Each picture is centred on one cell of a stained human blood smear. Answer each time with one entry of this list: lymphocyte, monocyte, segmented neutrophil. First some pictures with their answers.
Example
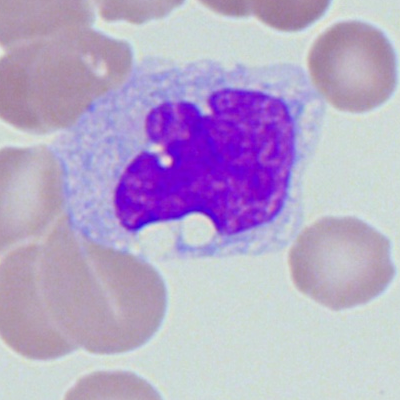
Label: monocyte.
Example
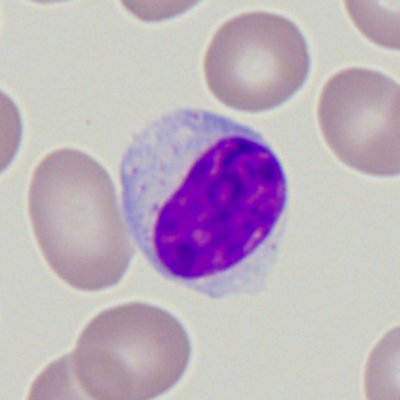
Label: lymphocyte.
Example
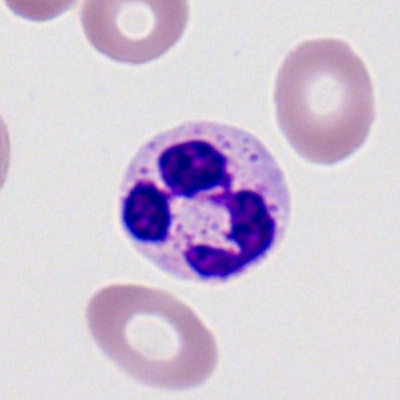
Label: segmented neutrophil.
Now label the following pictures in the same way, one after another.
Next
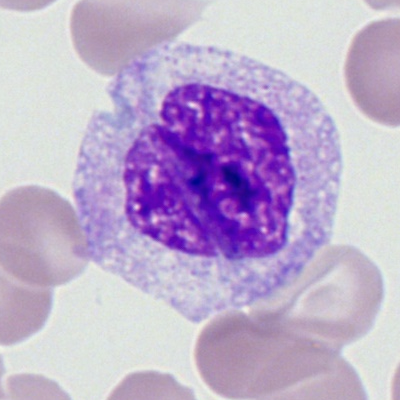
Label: monocyte.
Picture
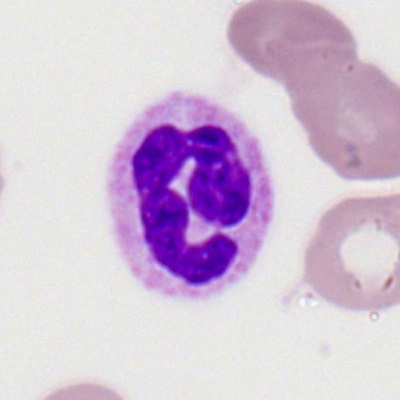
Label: segmented neutrophil.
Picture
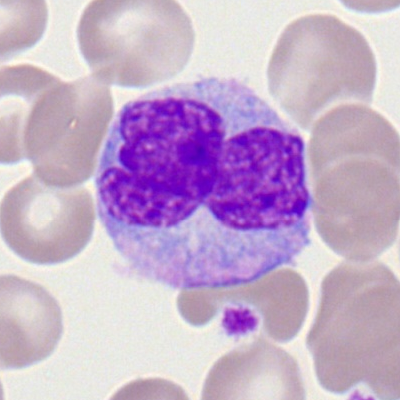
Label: monocyte.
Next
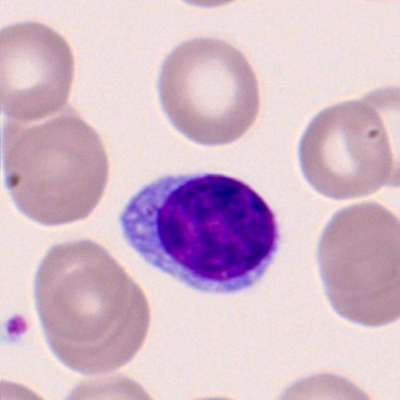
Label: lymphocyte.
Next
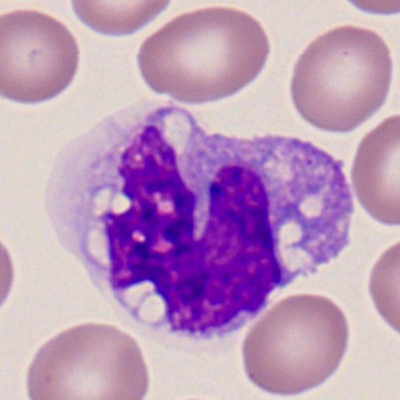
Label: monocyte.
